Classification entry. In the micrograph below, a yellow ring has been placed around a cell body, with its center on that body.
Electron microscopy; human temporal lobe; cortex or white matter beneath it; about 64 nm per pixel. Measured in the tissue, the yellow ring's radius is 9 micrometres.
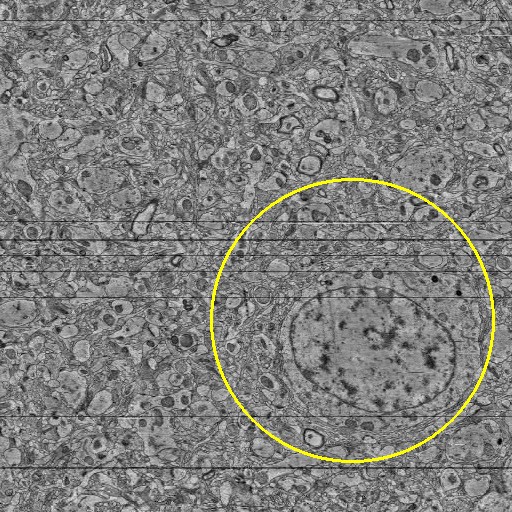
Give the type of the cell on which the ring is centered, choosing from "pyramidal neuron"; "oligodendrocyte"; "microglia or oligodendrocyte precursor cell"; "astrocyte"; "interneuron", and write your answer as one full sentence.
The cell body at the center of the yellow ring belongs to a pyramidal neuron.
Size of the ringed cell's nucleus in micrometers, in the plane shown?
In this plane, roughly 11 by 8 micrometres.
